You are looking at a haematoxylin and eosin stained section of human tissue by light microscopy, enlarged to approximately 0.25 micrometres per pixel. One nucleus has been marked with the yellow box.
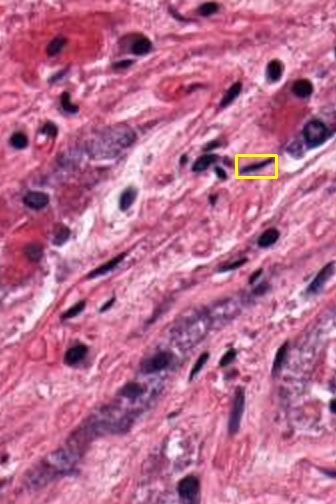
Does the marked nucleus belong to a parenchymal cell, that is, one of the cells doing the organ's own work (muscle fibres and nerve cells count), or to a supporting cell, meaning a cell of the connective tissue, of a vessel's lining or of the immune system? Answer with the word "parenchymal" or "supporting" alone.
supporting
